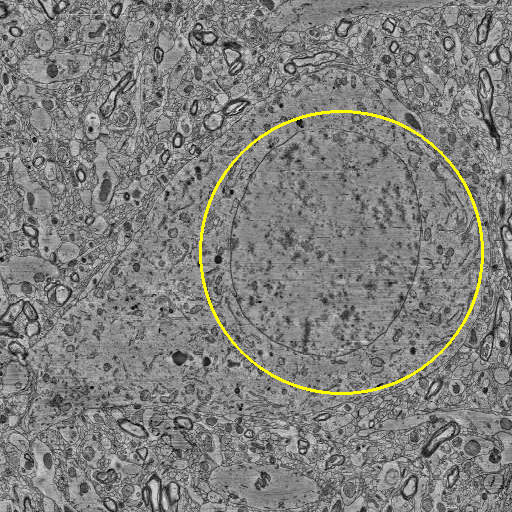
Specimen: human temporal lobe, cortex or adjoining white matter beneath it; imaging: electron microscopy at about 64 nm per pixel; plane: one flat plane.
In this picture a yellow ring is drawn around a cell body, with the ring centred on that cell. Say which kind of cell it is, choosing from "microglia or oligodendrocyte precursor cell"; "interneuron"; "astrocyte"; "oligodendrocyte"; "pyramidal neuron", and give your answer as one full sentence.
Here it is a pyramidal neuron that sits at the centre of the drawn yellow ring.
